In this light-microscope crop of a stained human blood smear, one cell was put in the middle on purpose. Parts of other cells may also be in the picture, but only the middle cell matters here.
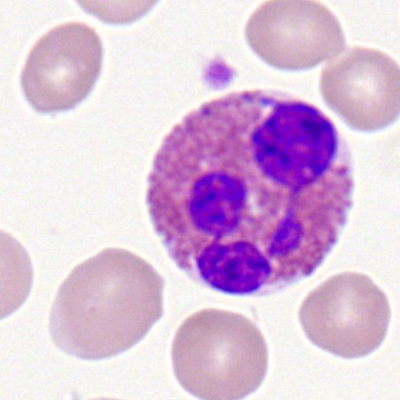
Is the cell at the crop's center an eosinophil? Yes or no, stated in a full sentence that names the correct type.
Yes, this is an eosinophil, the cell in the middle of the crop.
